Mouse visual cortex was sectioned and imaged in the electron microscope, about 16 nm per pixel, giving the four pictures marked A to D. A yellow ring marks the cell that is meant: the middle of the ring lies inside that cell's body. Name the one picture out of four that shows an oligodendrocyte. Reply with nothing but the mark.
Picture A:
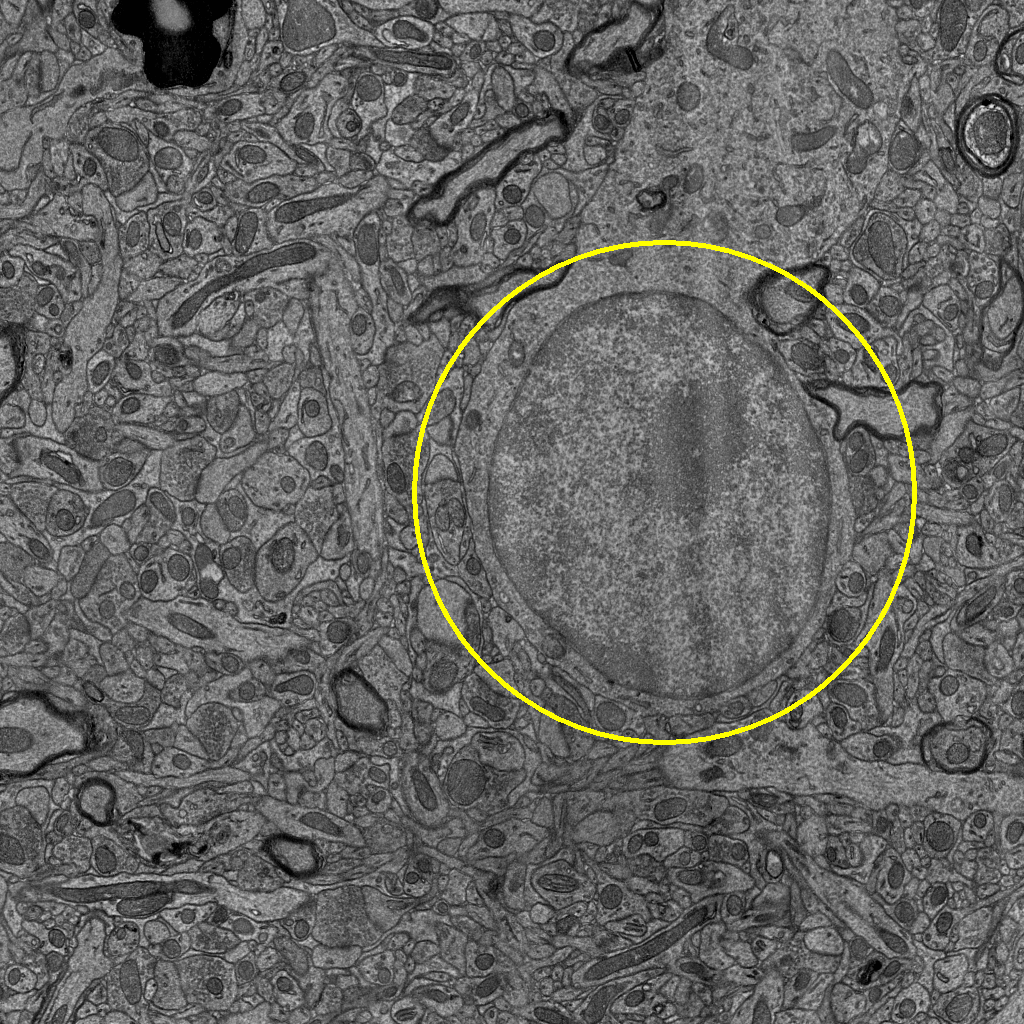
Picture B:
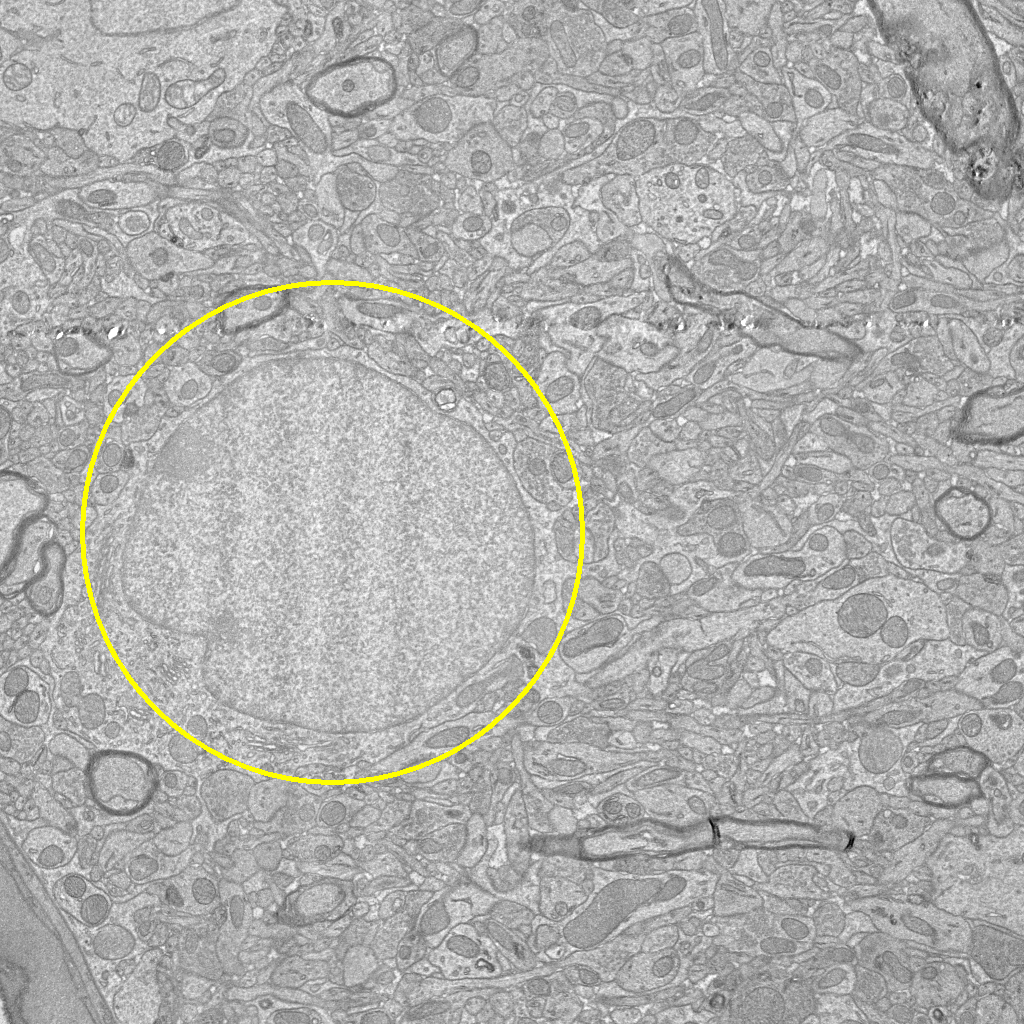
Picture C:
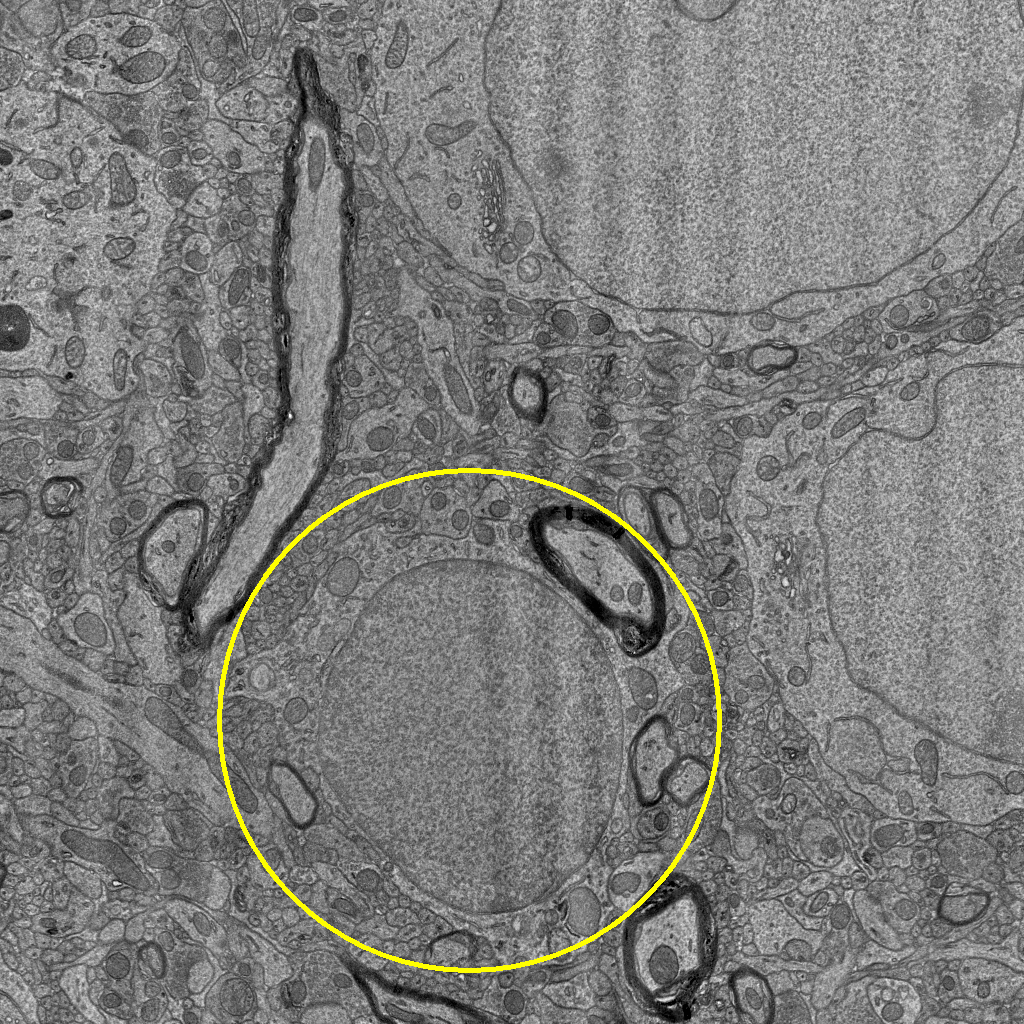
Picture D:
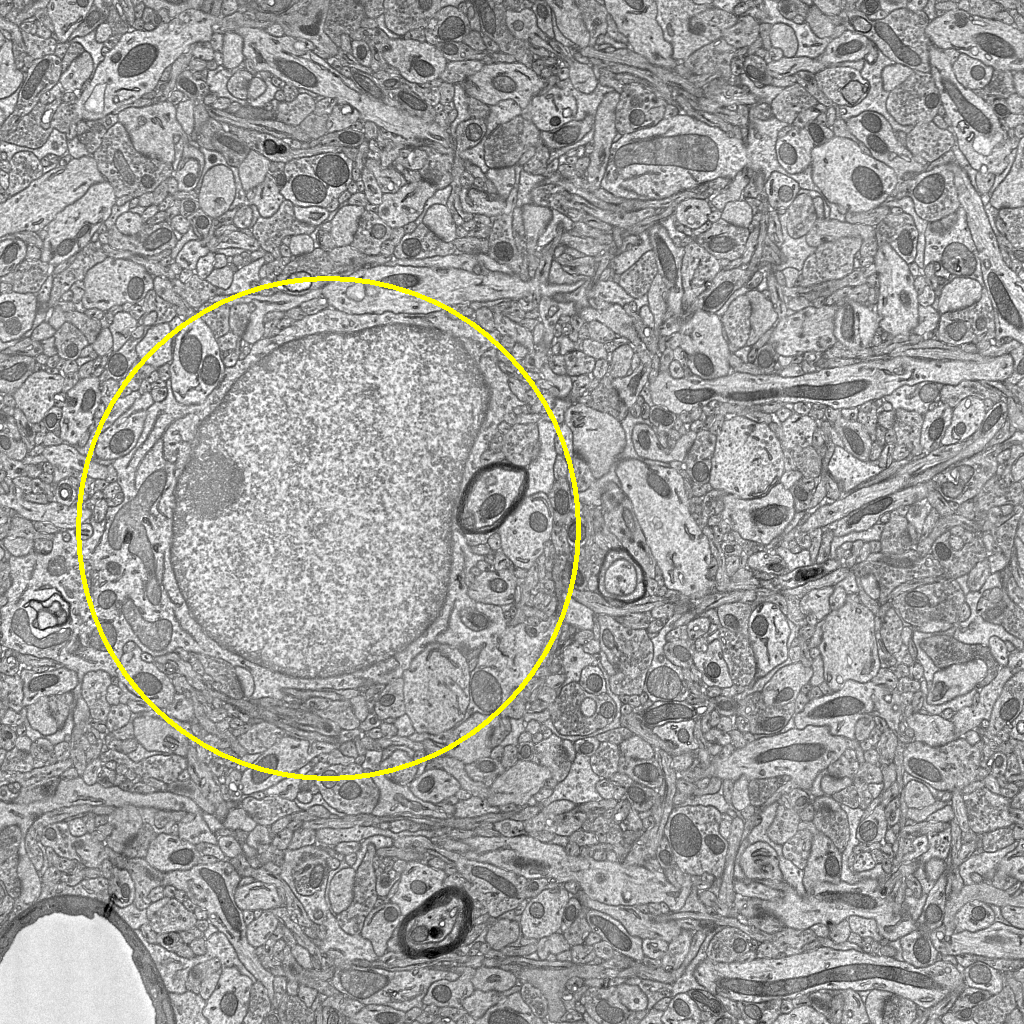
A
